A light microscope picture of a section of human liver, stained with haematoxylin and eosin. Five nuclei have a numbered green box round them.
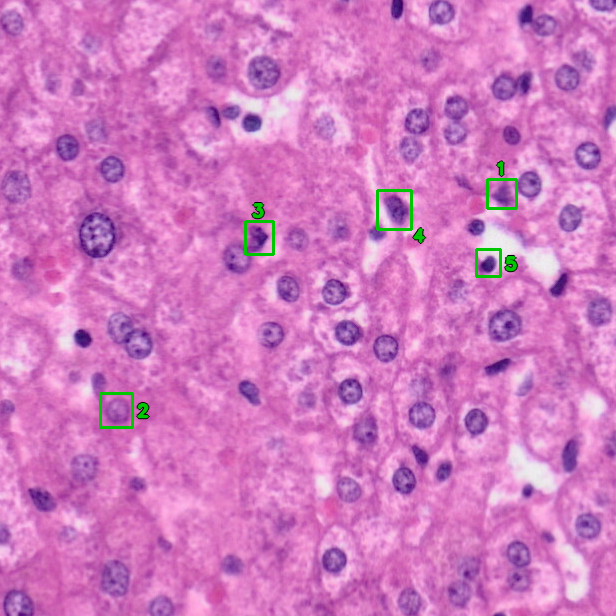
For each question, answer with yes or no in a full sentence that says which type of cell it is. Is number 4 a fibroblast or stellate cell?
No, the cell numbered 4 is a Kupffer cell rather than a fibroblast or stellate cell.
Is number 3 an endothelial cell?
Yes, the cell with the mark numbered 3 is an endothelial cell.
